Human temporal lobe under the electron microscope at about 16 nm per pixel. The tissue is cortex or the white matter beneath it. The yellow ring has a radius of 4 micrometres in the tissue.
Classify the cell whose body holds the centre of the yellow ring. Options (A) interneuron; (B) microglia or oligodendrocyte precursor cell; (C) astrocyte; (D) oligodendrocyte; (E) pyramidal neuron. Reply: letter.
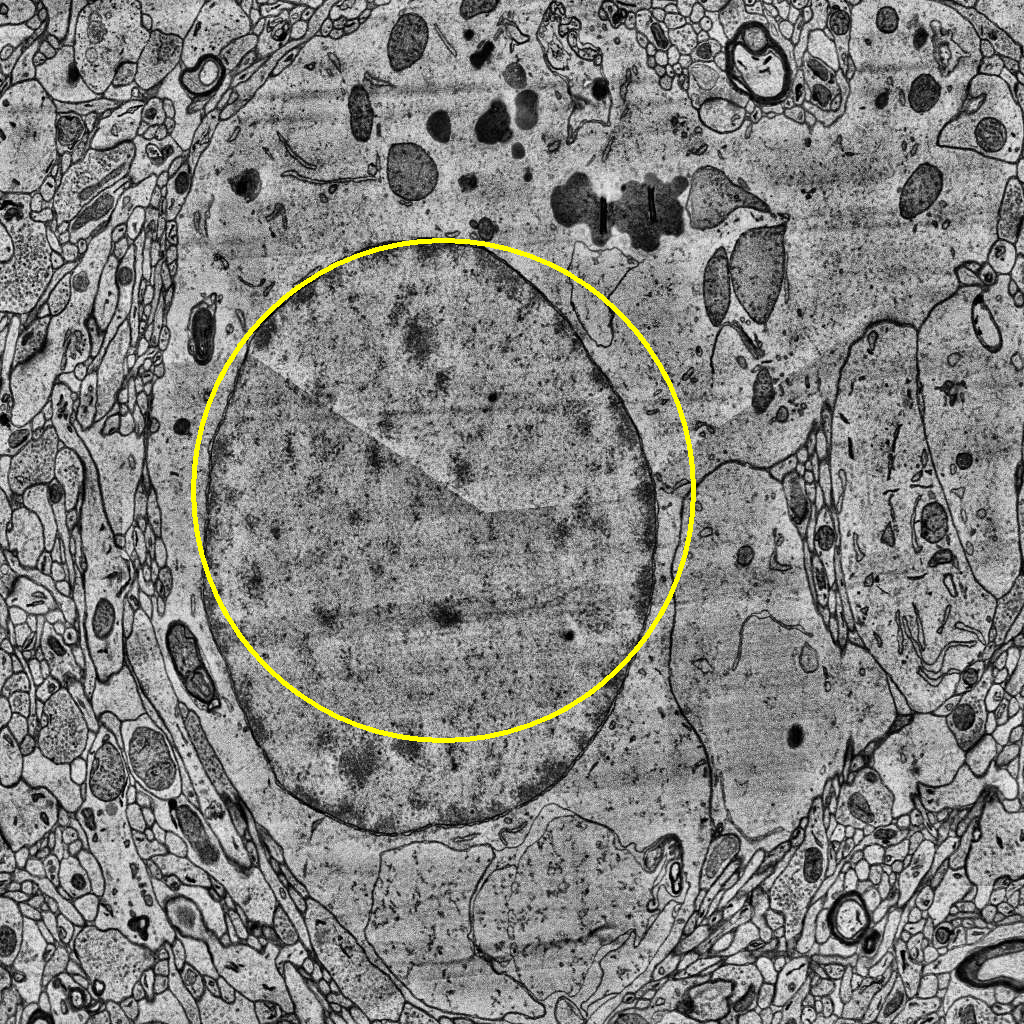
C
